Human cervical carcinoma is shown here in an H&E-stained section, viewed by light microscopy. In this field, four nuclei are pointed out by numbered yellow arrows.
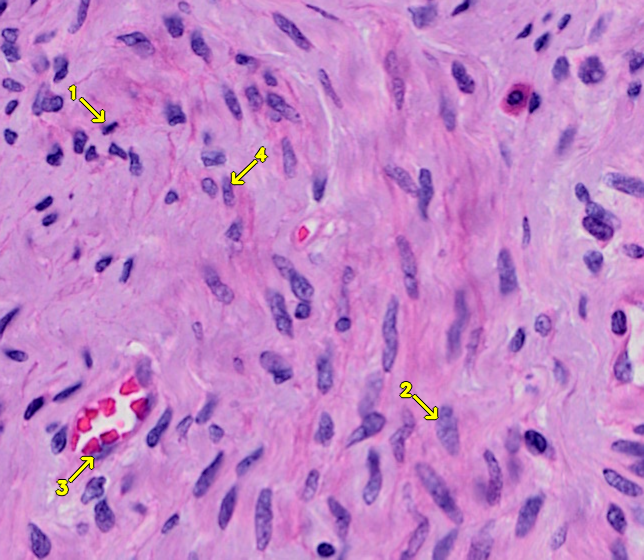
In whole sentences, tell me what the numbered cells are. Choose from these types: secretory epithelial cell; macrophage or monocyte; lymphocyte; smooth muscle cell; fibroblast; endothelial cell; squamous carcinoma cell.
Cells 1, 2 and 4 are smooth muscle cells. Cell 3 is an endothelial cell.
